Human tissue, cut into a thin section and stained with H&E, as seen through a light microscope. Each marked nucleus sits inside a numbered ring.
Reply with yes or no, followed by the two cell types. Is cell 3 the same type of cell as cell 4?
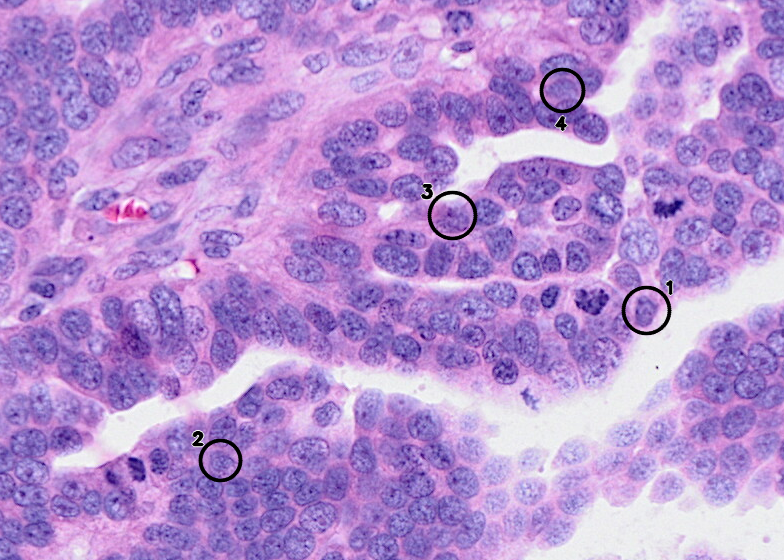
Yes, both cells, 3 and 4, are carcinoma cells.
